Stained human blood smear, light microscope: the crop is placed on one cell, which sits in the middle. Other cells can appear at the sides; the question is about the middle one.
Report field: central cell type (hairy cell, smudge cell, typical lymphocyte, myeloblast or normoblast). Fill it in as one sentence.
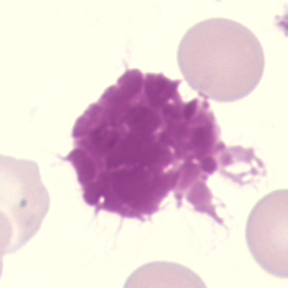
In this crop, the cell at the very middle is a smudge cell.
